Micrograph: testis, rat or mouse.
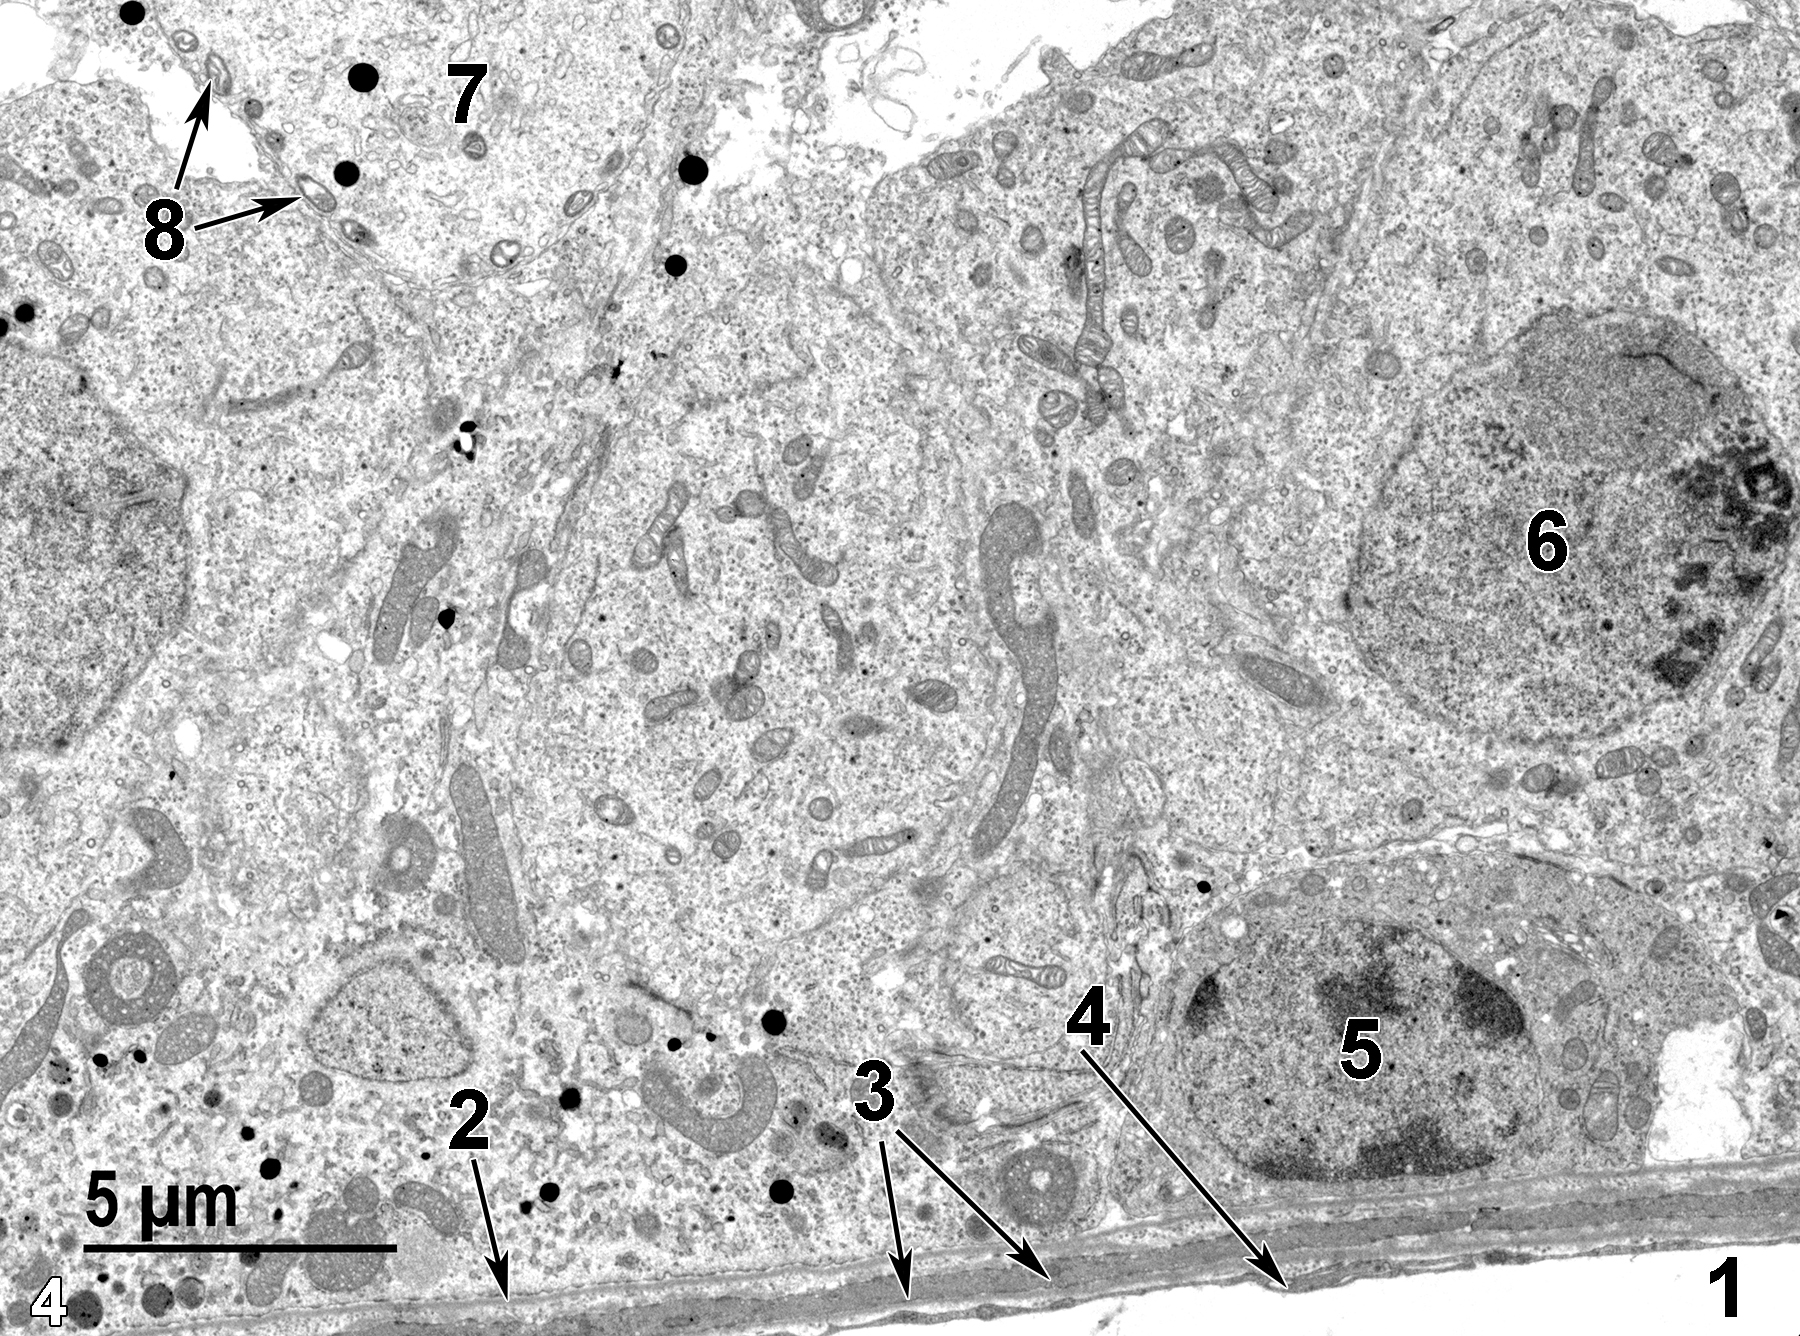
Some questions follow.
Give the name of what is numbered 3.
3 marks the peritubular myoid cells.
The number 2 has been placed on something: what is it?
Basal lamina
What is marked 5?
type A spermatogonium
